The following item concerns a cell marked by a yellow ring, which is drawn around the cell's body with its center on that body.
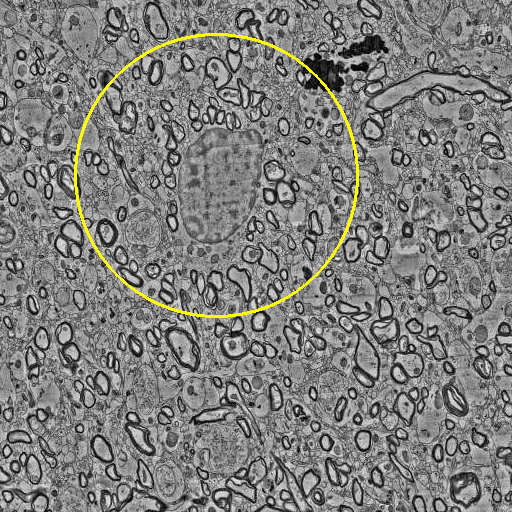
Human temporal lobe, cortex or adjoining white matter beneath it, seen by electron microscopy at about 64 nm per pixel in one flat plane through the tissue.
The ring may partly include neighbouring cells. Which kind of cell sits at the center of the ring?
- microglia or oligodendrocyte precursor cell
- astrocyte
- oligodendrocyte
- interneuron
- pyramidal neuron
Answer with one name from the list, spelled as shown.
oligodendrocyte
